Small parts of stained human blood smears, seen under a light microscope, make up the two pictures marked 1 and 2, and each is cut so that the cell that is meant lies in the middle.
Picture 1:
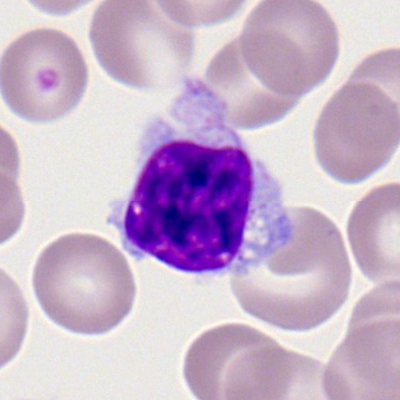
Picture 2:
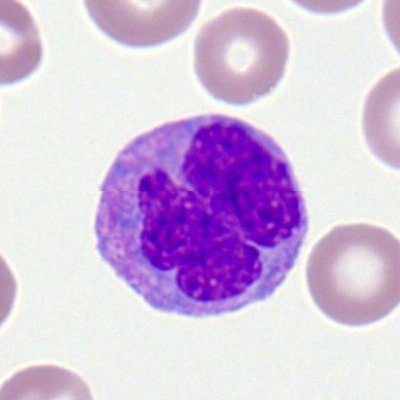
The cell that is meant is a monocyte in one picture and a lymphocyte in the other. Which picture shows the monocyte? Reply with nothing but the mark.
2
